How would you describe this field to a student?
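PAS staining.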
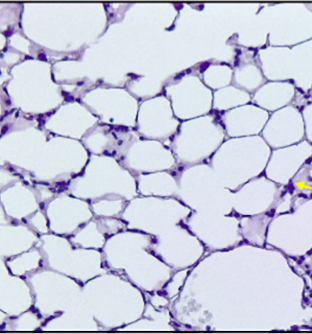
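This is normal-looking lung tissue, showing the fine lacy network of alveoli. Large, clear, polygonal airspaces are separated by very thin pale purple walls, in which small dark nuclei lie scattered, sometimes at the corners where several walls meet. The walls are of even, delicate thickness and few cells crowd them. Compared with injured lung, the airspaces here are open and the septa are thin, with only occasional inflammatory cells.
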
